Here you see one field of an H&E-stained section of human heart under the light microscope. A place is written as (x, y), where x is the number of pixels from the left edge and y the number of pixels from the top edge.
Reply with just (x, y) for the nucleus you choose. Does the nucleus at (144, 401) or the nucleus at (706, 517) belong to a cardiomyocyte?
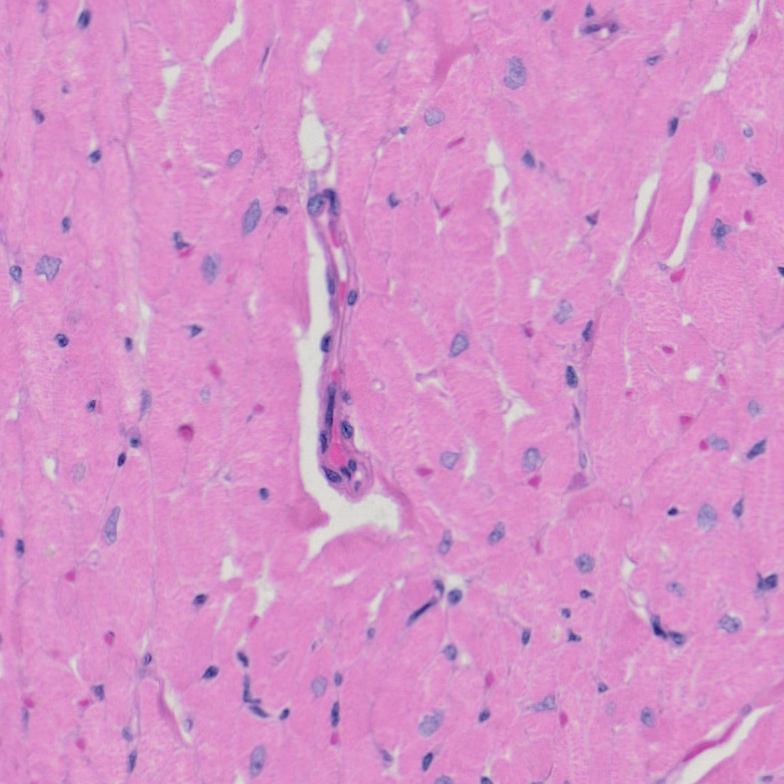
(706, 517)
